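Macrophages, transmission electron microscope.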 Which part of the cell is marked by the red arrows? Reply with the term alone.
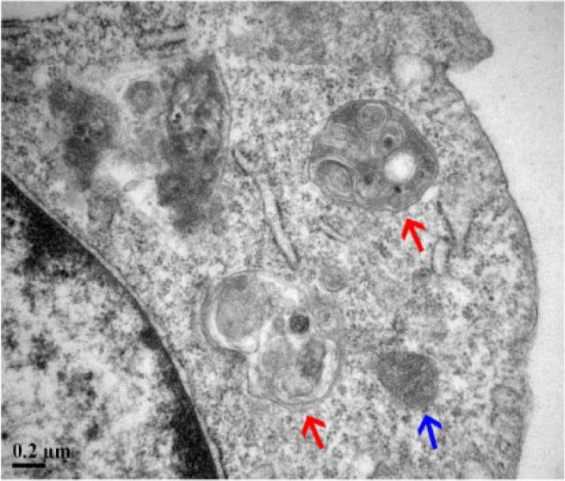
autophagosomes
